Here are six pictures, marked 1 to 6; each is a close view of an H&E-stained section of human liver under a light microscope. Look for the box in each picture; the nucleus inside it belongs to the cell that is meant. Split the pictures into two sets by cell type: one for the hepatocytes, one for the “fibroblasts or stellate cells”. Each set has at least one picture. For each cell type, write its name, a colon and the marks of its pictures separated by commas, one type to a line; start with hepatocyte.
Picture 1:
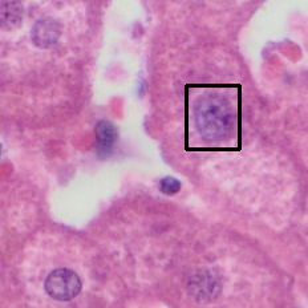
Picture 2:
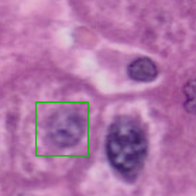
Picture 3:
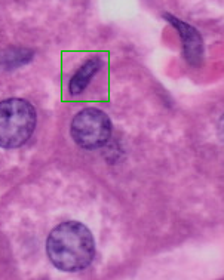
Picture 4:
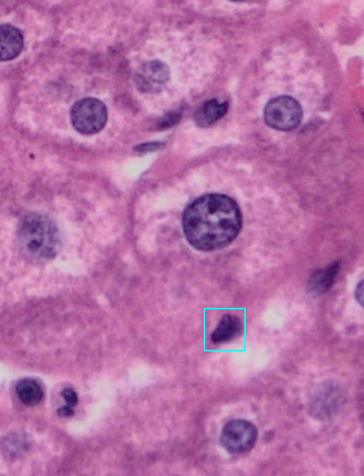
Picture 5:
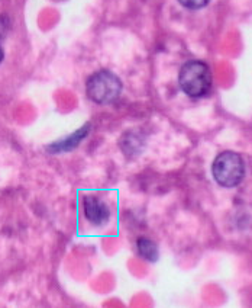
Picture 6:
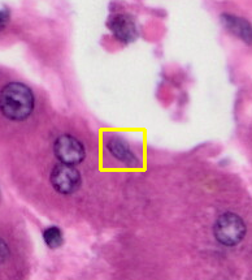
hepatocyte: 1, 2
fibroblast or stellate cell: 3, 4, 5, 6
